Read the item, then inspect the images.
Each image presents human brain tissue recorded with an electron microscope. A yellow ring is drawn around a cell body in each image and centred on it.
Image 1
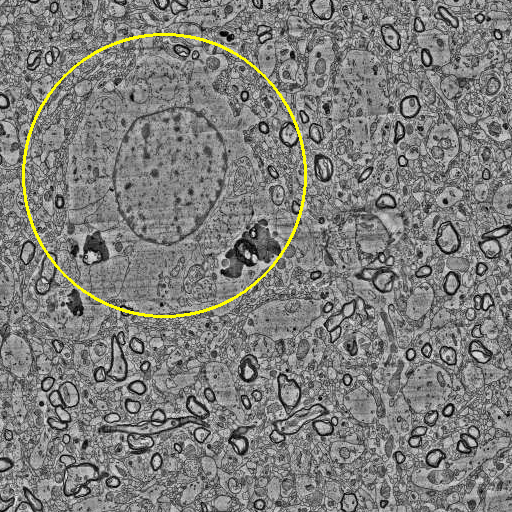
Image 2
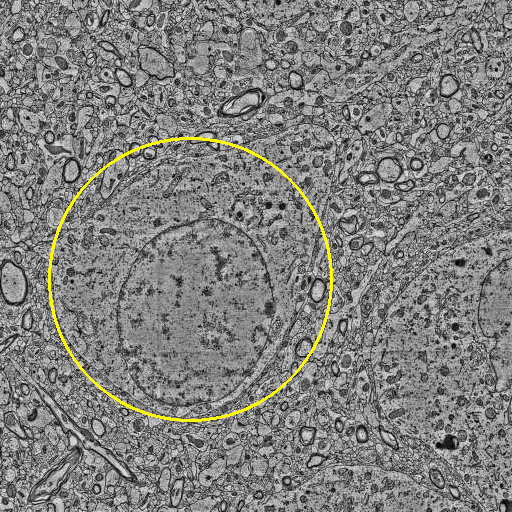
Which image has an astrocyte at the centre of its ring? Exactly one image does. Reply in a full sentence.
The ring in Image 1 is centred on it.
